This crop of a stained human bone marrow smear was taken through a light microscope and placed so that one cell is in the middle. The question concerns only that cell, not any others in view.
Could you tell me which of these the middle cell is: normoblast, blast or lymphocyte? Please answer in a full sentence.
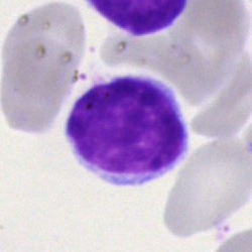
Centred in the crop is a lymphocyte.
